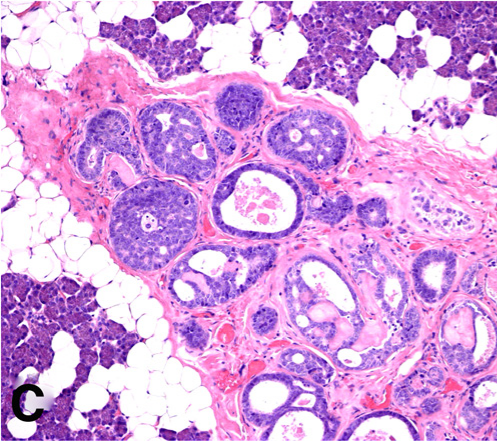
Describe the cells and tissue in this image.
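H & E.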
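An adenoid cystic carcinoma forms nests and tubules of small, darkly purple cells within a band of pink fibrous stroma. Some nests are solid with small round spaces, others are tubules with open lumens holding pink material. The tumor cells have dark nuclei and scant cytoplasm. On either side lie adipose tissue with clear vacuoles and lobules of purple glandular acini.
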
